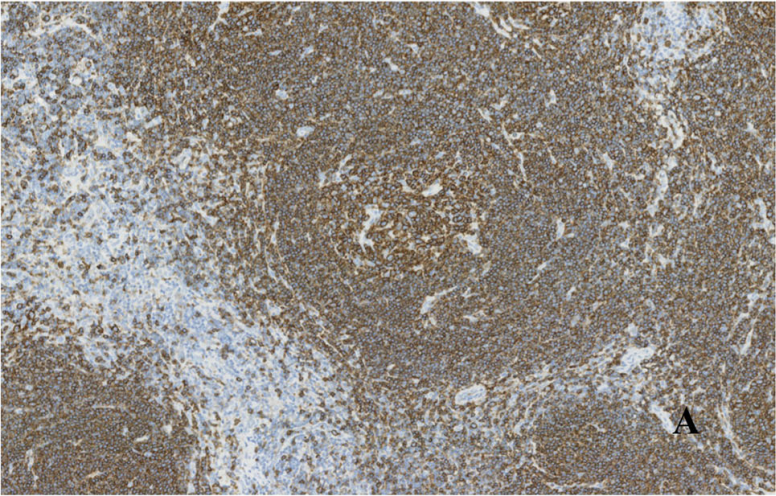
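Lymphoid tissue with several round follicles is seen, densely packed with small lymphocytes. The follicles are stained brown across their whole area, both in the middle and at the periphery. A large follicle fills the centre of the field, with smaller ones at the lower corners. Between the follicles lies paler tissue where cells are counterstained blue and only scattered cells are brown. Small vessels appear as clear gaps within the brown areas.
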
